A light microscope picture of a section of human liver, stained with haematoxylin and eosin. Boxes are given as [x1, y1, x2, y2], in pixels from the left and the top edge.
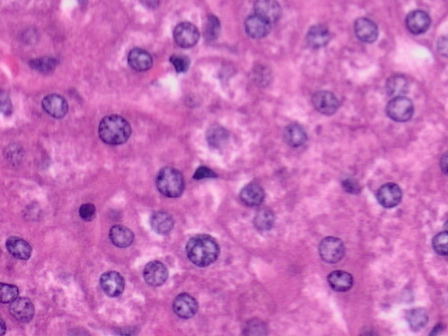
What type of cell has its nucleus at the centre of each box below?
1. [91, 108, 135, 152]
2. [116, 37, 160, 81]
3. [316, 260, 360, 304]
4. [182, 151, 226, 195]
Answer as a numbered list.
1. hepatocyte
2. hepatocyte
3. hepatocyte
4. fibroblast or stellate cell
